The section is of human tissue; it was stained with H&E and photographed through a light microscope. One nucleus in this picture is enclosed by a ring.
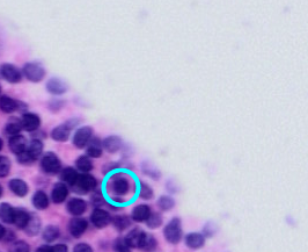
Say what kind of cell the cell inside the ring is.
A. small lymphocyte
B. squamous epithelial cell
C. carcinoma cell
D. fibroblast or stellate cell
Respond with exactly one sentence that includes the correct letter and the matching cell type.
Of the options offered, A is correct, as the cell inside the ring is a small lymphocyte.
